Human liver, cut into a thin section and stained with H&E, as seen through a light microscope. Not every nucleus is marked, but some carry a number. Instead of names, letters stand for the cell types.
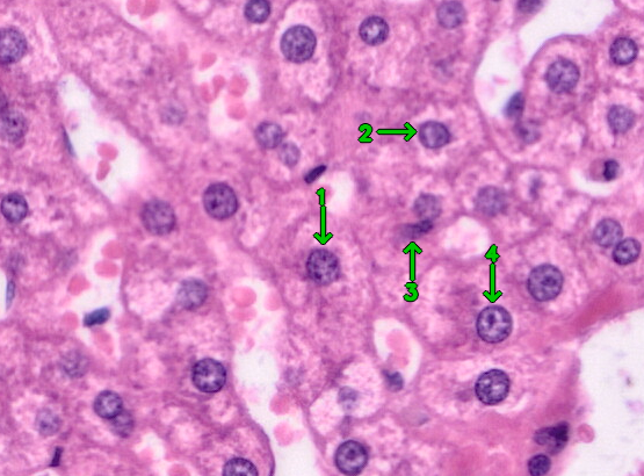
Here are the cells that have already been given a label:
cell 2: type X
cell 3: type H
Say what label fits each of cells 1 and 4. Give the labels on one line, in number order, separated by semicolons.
type X; type X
